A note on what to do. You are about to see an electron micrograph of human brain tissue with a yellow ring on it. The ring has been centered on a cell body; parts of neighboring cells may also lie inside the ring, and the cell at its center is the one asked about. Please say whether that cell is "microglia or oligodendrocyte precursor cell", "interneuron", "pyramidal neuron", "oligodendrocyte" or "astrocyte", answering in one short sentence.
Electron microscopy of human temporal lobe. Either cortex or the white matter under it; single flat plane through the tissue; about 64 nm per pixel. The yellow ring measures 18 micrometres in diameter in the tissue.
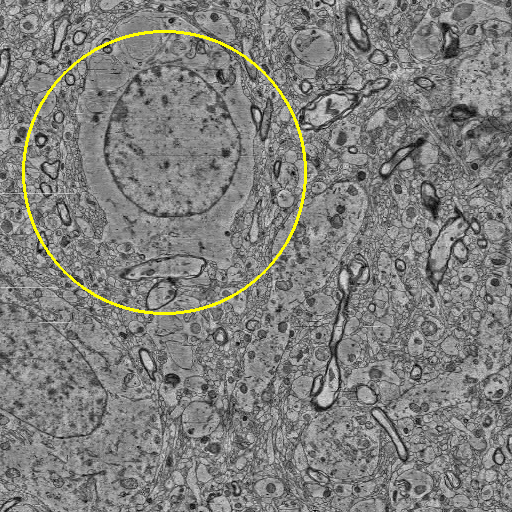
The yellow ring sits on an astrocyte.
